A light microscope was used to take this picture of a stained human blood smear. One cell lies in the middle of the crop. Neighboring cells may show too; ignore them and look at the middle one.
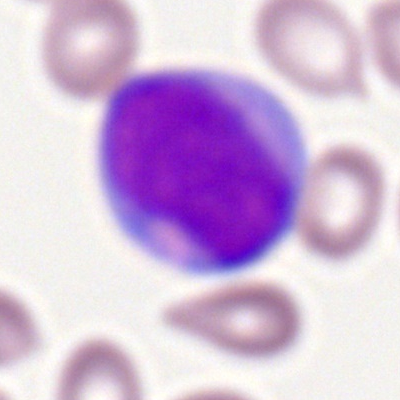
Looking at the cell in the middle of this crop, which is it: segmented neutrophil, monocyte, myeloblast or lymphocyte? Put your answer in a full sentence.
Centrally within this crop lies a myeloblast.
